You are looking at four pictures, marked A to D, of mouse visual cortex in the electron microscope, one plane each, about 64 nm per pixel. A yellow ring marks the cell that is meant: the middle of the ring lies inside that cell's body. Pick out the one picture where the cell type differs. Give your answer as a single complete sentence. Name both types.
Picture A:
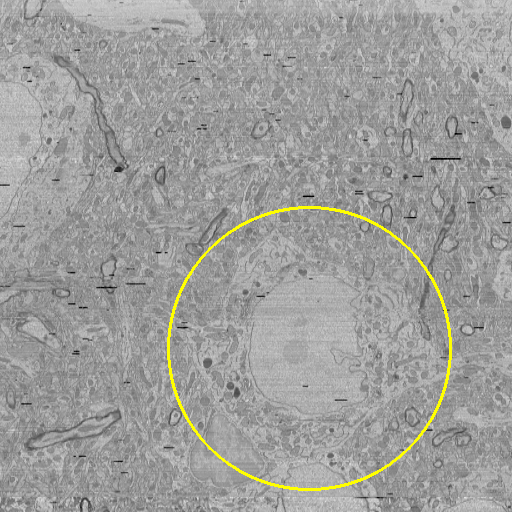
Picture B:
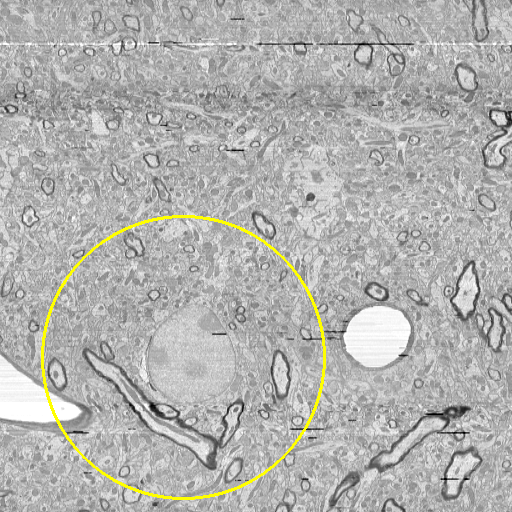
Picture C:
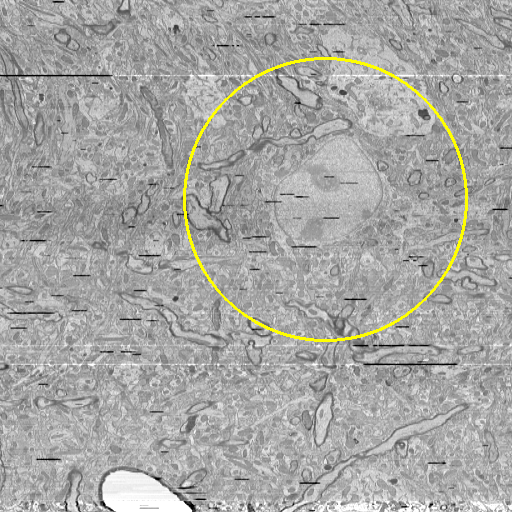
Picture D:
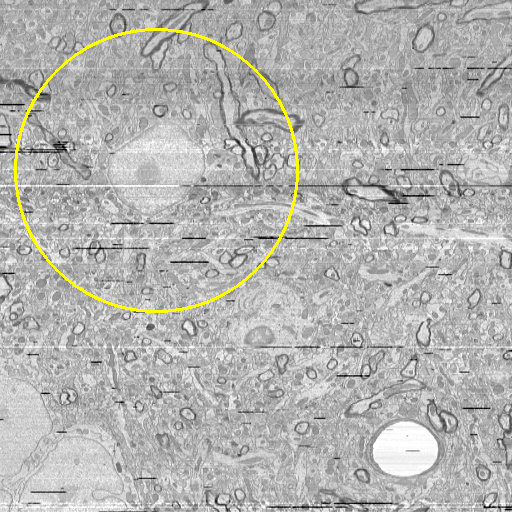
The different one is picture A; it shows an inhibitory neuron, whereas all the others show astrocytes.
